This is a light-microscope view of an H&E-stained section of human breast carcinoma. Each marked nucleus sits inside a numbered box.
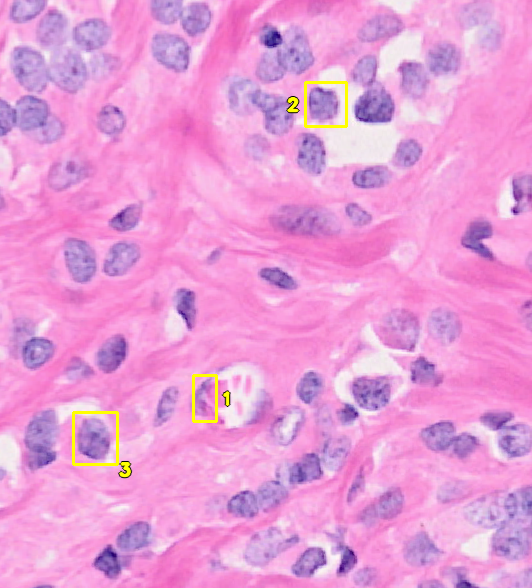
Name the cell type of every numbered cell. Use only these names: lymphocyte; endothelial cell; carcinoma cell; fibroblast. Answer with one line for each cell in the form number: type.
1: endothelial cell
2: carcinoma cell
3: carcinoma cell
